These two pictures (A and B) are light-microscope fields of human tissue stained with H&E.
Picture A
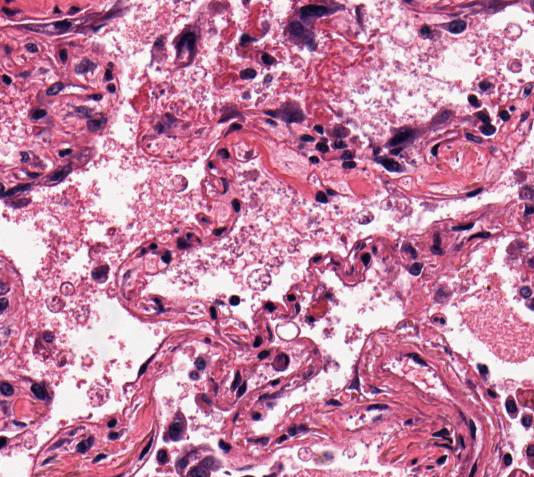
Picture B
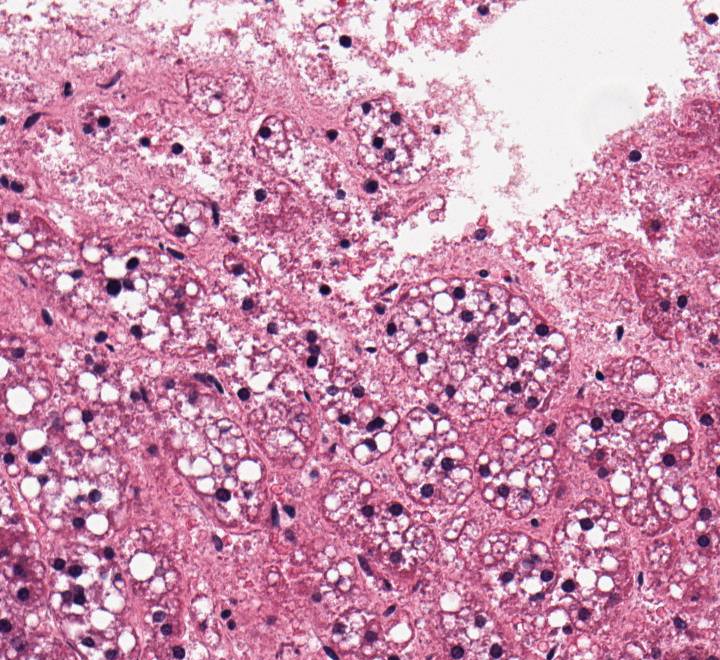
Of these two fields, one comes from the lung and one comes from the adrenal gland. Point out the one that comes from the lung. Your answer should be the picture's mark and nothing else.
A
